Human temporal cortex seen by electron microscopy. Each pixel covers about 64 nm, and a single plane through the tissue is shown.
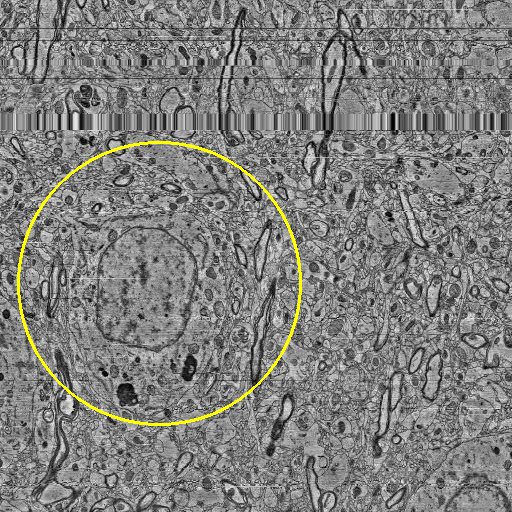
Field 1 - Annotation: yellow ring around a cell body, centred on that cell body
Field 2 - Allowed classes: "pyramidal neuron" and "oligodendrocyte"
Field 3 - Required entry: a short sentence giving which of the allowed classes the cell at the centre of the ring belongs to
The centred cell is a pyramidal neuron.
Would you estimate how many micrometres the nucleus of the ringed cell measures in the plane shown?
About 8 micrometres across, as seen in this plane.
